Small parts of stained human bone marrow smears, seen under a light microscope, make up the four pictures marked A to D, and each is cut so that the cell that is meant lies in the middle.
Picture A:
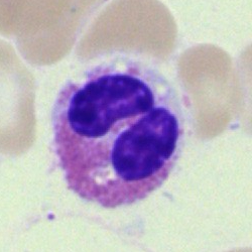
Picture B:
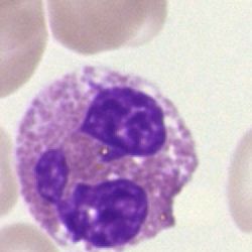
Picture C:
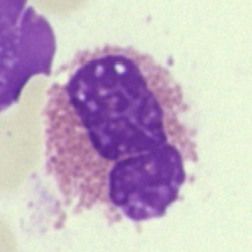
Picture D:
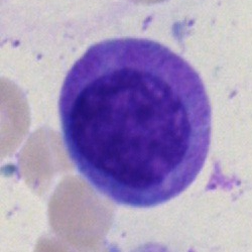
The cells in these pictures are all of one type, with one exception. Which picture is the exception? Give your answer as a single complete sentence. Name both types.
All pictures except D show eosinophils; picture D shows a promyelocyte.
